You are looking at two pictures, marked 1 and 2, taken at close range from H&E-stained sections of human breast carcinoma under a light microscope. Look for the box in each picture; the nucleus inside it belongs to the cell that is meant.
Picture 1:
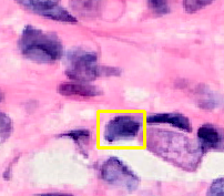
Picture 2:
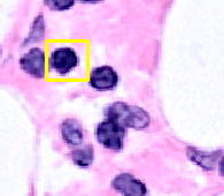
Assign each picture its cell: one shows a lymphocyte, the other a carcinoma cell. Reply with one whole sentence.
It is picture 1 that shows a carcinoma cell, and picture 2 that shows a lymphocyte.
